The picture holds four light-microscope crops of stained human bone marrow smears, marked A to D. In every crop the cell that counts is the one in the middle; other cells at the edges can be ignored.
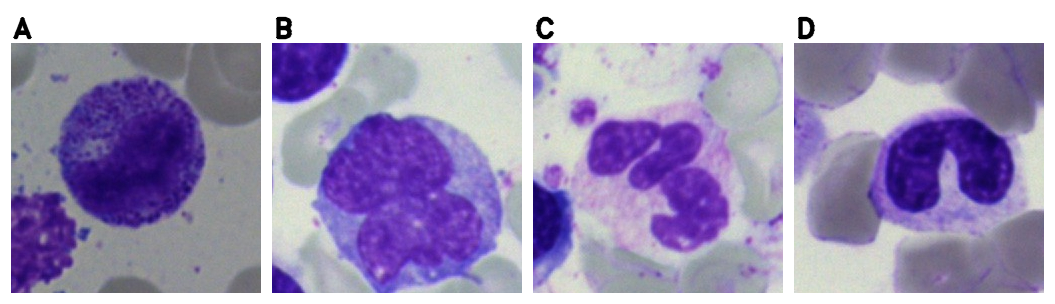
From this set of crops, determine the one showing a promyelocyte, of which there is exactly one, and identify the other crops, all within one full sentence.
In crop A, a promyelocyte is the cell shown, while crop B is a monocyte, crop C is a segmented neutrophil and crop D is a band neutrophil.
